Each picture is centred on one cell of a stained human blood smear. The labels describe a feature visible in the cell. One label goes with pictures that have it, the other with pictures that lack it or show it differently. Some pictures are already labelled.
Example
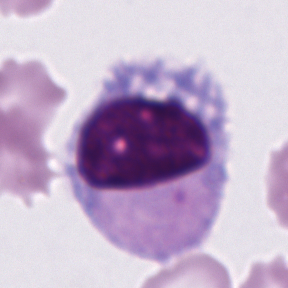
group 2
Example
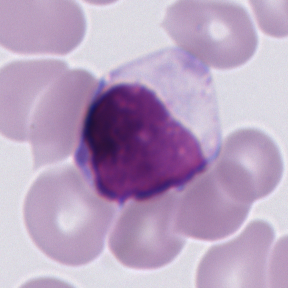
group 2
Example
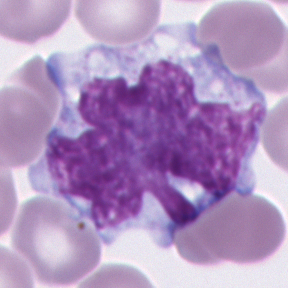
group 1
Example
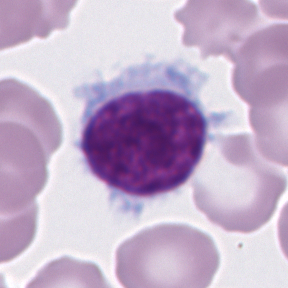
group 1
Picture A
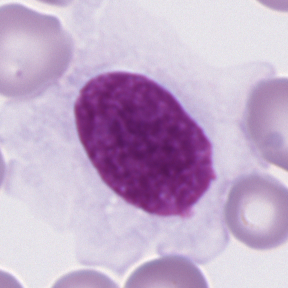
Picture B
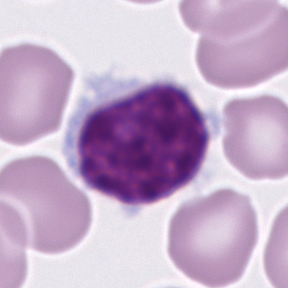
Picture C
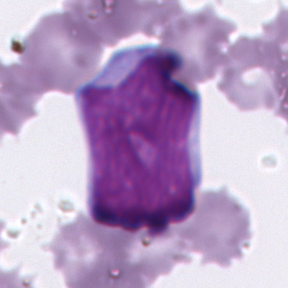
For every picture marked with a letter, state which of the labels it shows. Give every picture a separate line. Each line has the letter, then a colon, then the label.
A: group 2
B: group 1
C: group 1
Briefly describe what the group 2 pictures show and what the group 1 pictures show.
group 2: abundant cytoplasm; group 1: scant cytoplasm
